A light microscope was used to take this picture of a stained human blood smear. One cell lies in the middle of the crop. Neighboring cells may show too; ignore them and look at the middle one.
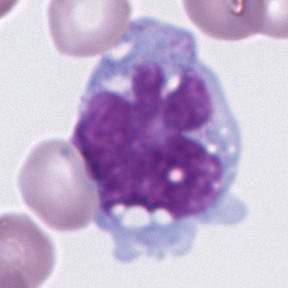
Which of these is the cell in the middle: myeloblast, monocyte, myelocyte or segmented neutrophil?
monocyte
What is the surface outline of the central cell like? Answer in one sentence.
The outer contour of the cell is irregular, with ragged portions or projections along it.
